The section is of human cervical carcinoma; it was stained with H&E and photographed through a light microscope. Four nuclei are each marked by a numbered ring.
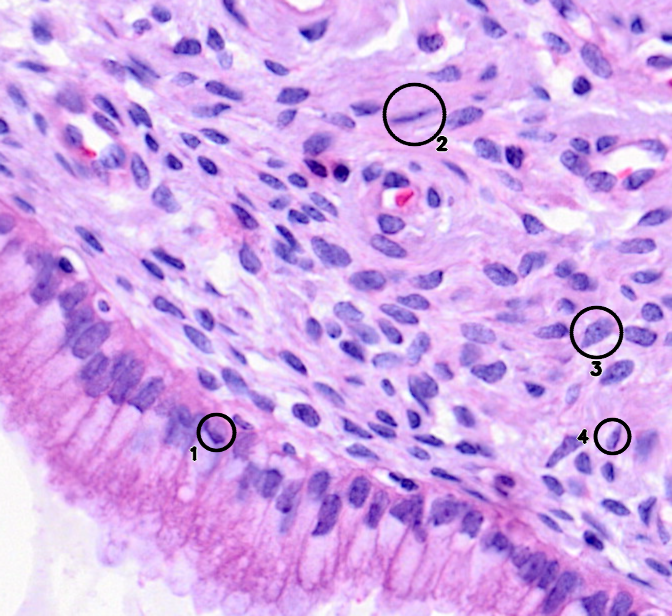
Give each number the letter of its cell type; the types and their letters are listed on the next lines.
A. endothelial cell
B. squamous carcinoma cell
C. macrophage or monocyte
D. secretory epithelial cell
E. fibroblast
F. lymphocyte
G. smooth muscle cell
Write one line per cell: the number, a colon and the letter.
1: D
2: E
3: E
4: E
